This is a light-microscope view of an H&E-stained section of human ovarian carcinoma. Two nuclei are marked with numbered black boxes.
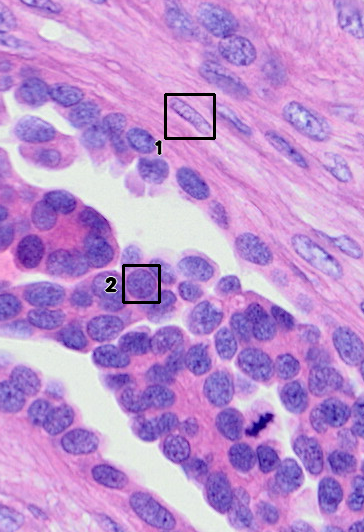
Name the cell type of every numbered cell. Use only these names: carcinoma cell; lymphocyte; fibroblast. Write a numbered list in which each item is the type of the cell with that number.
1. fibroblast
2. carcinoma cell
